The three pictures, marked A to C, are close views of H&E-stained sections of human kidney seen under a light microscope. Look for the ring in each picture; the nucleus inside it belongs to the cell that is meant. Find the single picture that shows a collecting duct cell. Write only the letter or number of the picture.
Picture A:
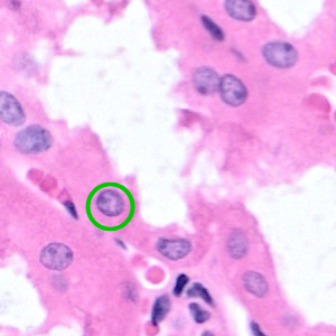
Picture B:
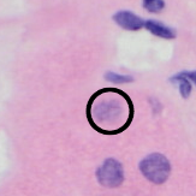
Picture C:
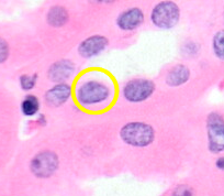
C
